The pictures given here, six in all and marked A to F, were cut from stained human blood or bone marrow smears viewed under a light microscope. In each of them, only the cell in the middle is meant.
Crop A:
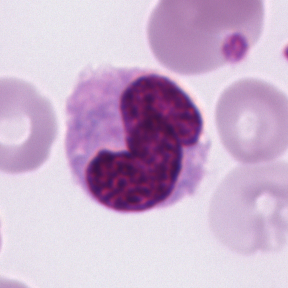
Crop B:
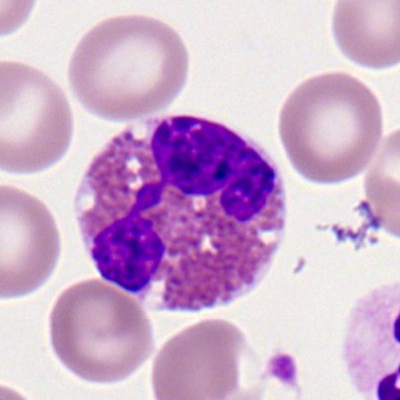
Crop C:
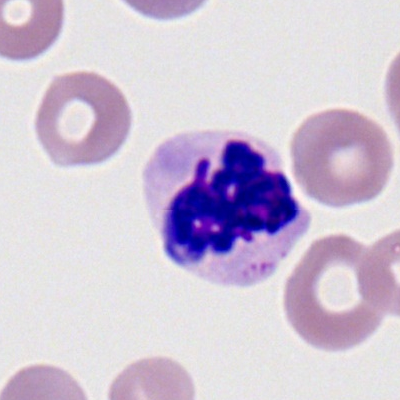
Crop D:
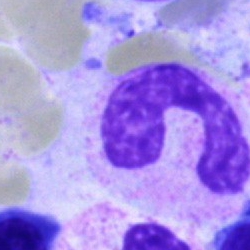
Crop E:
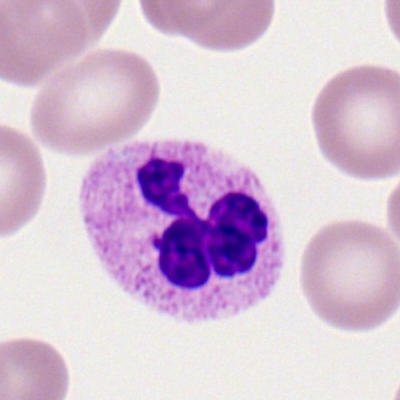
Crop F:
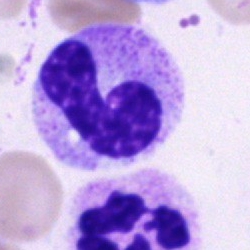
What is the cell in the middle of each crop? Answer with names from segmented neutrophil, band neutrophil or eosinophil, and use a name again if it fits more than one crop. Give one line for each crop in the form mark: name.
A: band neutrophil
B: eosinophil
C: segmented neutrophil
D: band neutrophil
E: segmented neutrophil
F: band neutrophil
